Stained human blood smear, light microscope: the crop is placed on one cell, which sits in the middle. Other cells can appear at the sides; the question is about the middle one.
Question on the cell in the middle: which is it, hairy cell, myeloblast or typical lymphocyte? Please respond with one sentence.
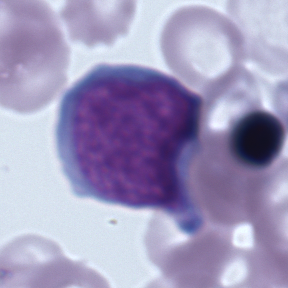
In the center of this field lies a myeloblast.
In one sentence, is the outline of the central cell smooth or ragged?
The outline of this cell is not smooth but ragged or drawn out into projections.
